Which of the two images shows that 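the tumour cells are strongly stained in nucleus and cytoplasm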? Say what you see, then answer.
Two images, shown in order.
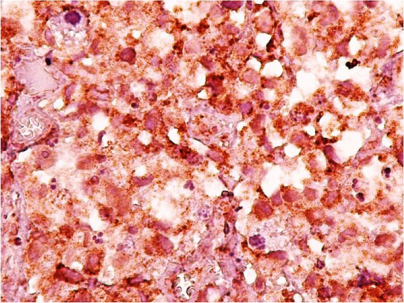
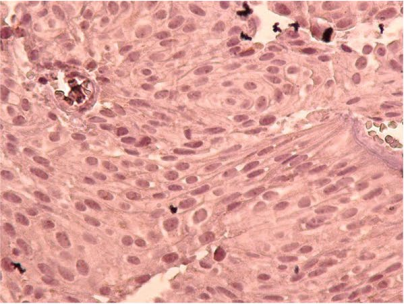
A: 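Second image: cells are only faintly tinted, nuclei appear mostly pale purple-pink. That points to this answer: the first image.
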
